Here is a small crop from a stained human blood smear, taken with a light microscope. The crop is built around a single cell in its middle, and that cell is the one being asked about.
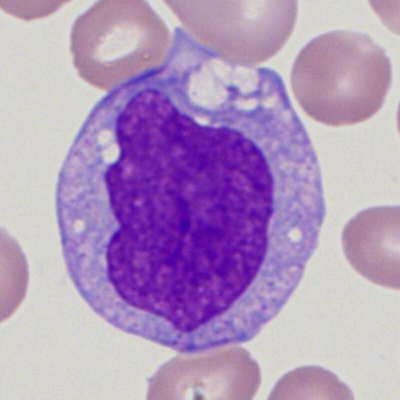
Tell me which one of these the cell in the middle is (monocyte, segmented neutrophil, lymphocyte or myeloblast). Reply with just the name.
monocyte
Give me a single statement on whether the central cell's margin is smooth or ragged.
As for its outline, the cell is irregular, ragged or drawn into projections.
